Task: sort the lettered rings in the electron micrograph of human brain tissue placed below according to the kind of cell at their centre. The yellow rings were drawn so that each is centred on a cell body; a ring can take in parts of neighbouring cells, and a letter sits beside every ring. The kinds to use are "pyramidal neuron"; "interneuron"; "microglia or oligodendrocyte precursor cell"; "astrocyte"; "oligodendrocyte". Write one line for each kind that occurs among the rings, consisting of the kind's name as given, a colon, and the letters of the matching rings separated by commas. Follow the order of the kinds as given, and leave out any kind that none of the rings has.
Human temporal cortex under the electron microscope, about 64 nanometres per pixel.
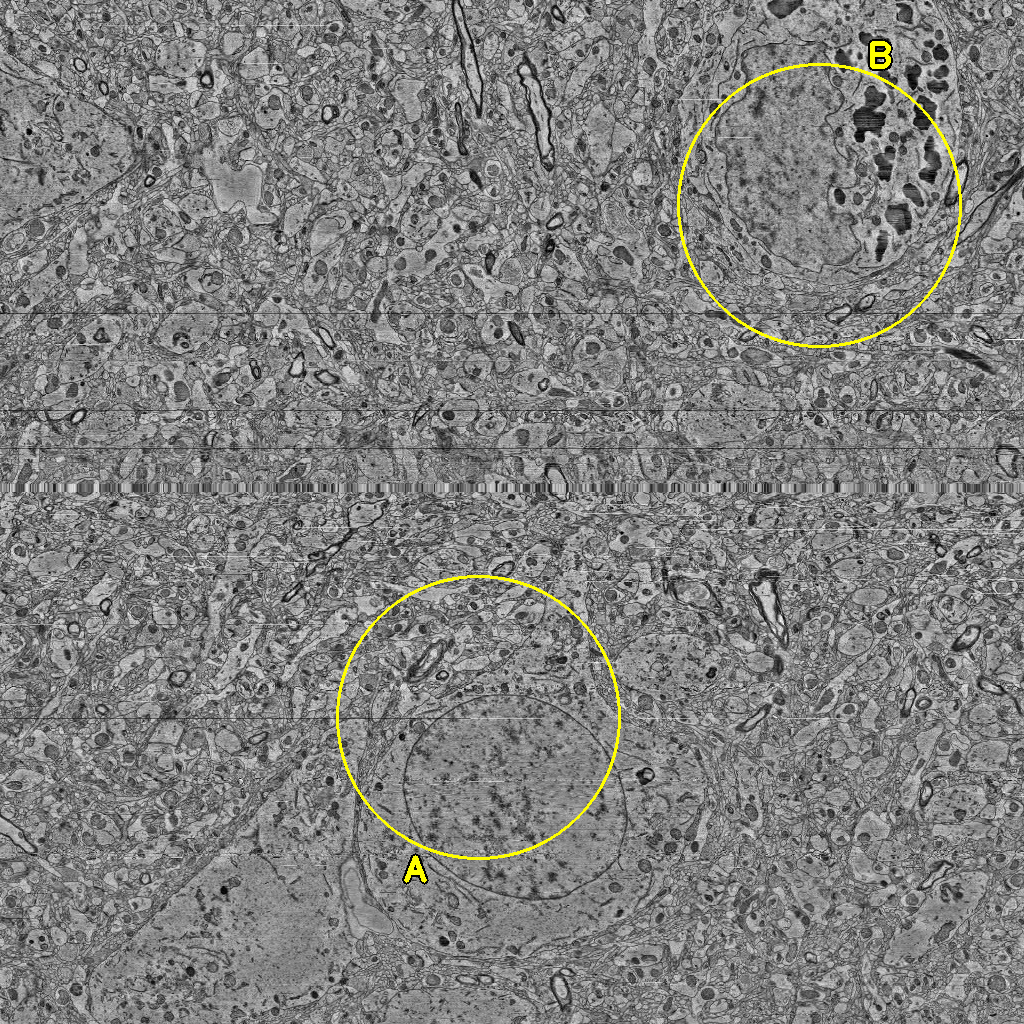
pyramidal neuron: A
interneuron: B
